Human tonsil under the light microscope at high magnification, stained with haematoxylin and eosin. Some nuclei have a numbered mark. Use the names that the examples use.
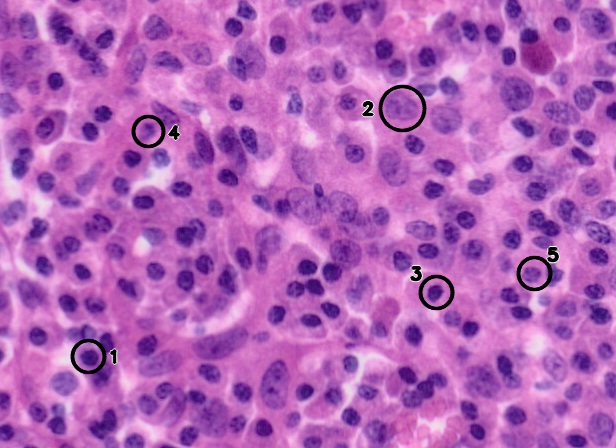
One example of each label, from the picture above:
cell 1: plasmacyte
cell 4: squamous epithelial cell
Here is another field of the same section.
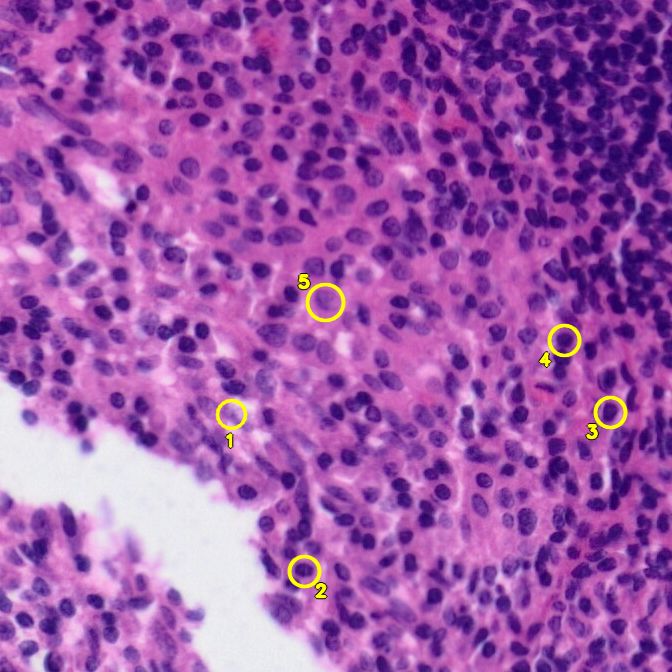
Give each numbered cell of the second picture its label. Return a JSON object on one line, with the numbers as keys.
{"1": "squamous epithelial cell", "2": "plasmacyte", "3": "plasmacyte", "4": "plasmacyte", "5": "squamous epithelial cell"}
